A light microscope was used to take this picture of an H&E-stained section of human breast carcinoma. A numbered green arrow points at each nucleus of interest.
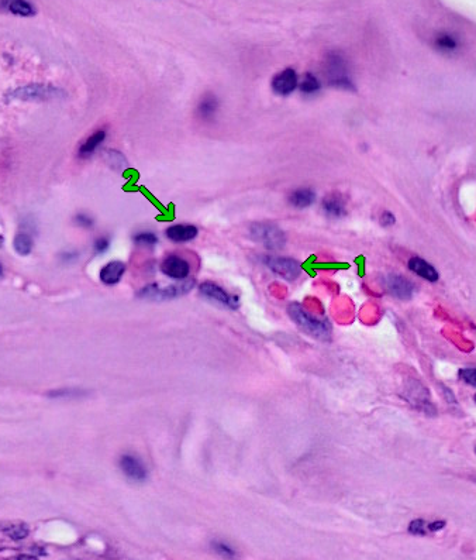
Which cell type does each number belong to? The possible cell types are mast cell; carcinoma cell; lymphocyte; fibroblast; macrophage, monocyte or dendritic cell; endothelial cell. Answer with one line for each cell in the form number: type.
1: endothelial cell
2: lymphocyte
